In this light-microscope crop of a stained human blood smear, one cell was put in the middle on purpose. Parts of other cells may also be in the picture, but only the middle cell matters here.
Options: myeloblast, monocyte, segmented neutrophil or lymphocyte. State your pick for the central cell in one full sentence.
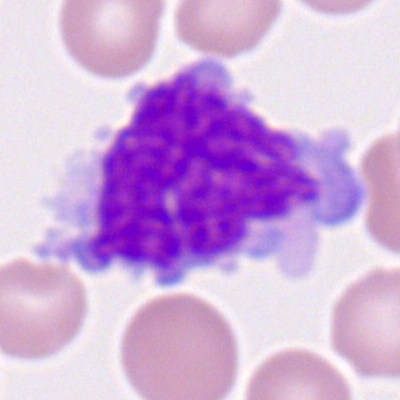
The centrally placed cell is classified as a monocyte.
